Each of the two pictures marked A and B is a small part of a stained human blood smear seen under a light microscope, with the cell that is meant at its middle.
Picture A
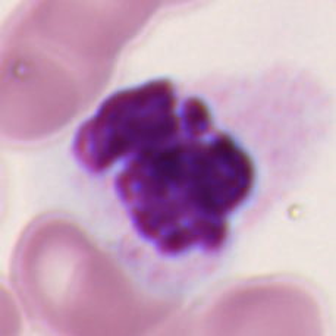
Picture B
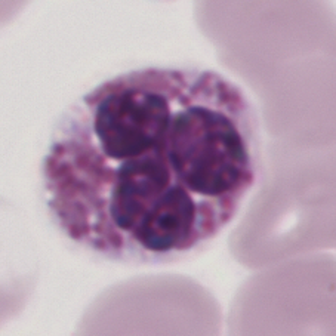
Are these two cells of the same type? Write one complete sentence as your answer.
No, they differ: the cell is a segmented neutrophil in picture A and an eosinophil in picture B.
